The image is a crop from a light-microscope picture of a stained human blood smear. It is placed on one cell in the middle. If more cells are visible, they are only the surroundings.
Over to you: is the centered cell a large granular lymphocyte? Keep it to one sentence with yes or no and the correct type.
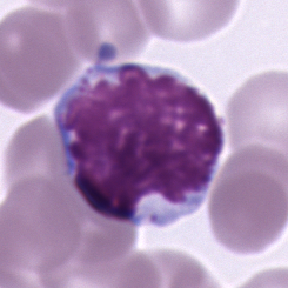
Yes, the cell in the exact middle is a large granular lymphocyte.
